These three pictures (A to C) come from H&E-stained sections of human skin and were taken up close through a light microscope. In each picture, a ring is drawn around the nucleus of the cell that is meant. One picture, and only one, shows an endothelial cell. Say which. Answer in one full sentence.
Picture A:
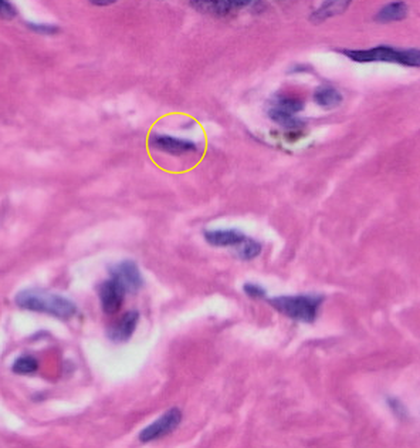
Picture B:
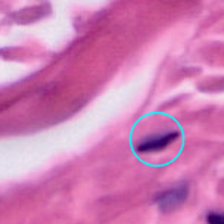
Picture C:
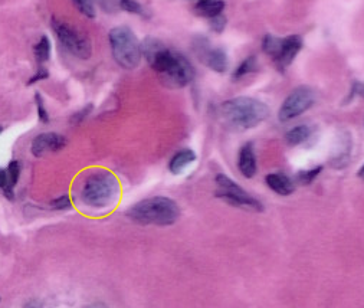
Picture C shows the endothelial cell.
